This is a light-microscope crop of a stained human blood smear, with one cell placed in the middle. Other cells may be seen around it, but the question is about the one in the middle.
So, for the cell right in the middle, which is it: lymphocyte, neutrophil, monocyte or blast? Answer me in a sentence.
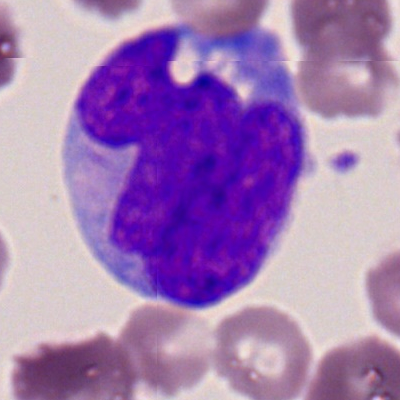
To answer, the cell in the center of the crop is a monocyte.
